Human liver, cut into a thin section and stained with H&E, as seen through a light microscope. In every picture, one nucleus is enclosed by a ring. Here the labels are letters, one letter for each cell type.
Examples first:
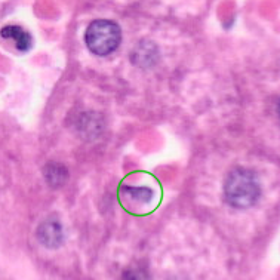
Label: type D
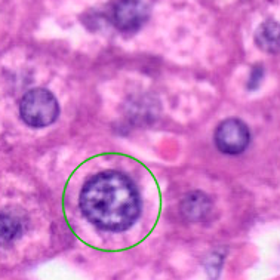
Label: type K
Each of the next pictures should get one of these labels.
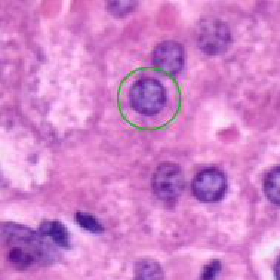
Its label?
type K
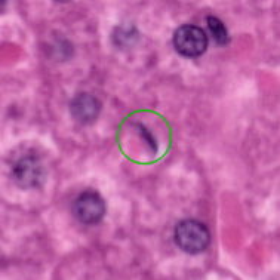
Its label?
type D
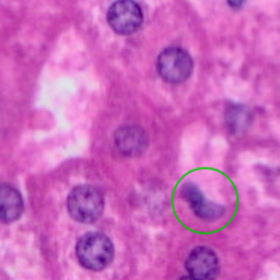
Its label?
type D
